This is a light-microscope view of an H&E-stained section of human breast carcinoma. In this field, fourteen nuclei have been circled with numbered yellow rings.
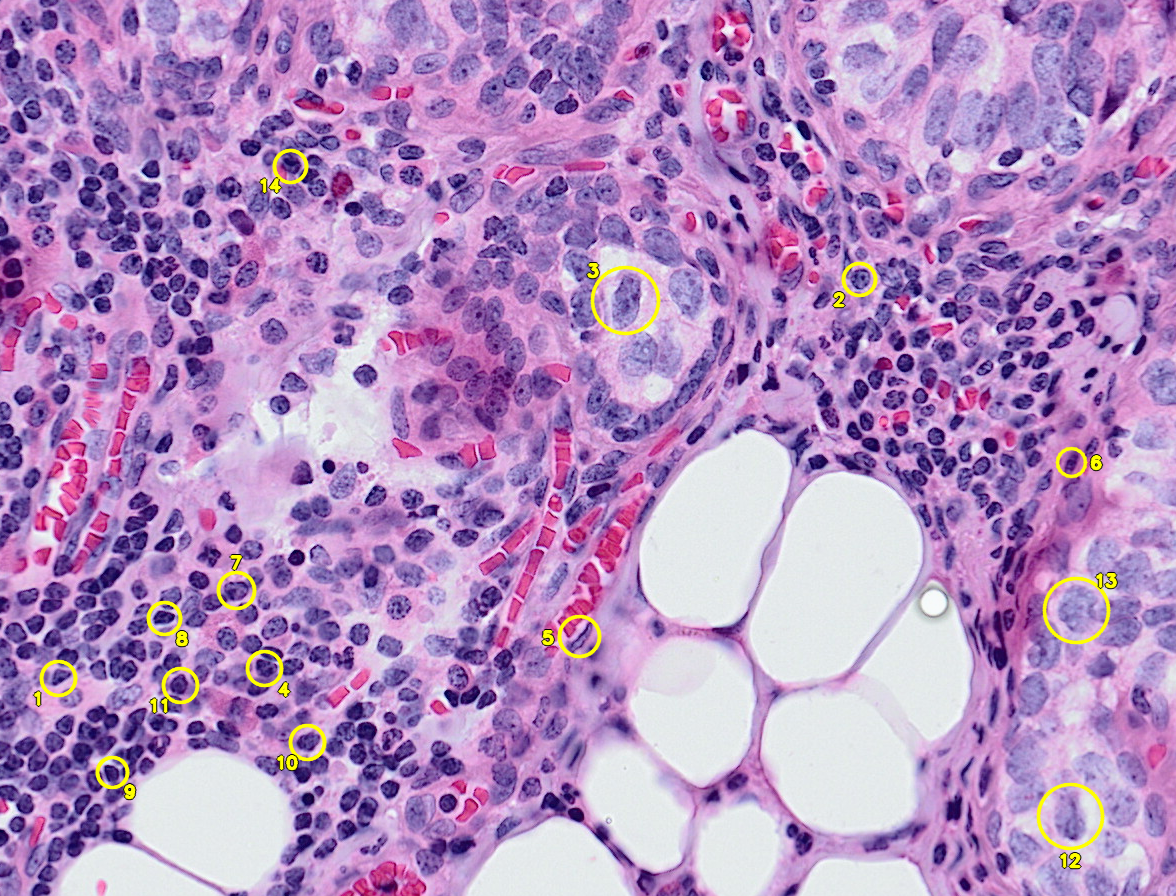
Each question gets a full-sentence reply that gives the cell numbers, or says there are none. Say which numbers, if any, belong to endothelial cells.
Classified as endothelial cells are the cells numbered 5 and 6.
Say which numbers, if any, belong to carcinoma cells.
The cells tagged with numbers 3, 12 and 13 are carcinoma cells.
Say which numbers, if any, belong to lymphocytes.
The cells picked out by numbers 1, 4, 7, 8, 9, 10, 11 and 14 are lymphocytes.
